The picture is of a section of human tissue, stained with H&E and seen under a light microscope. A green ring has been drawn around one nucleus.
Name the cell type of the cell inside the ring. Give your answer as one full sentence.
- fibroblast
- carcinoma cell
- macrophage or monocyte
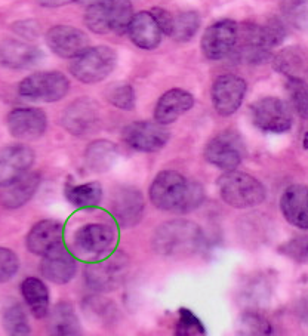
This is a carcinoma cell.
